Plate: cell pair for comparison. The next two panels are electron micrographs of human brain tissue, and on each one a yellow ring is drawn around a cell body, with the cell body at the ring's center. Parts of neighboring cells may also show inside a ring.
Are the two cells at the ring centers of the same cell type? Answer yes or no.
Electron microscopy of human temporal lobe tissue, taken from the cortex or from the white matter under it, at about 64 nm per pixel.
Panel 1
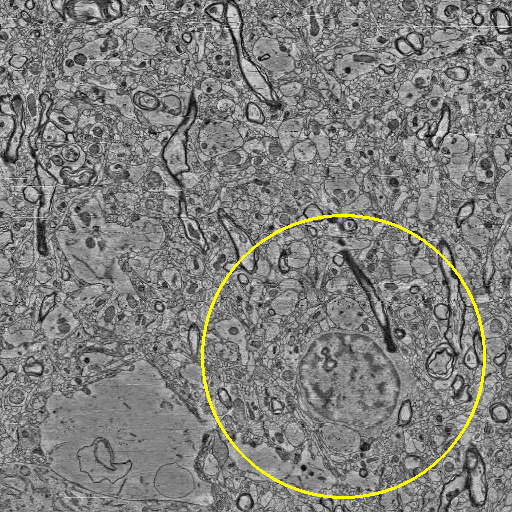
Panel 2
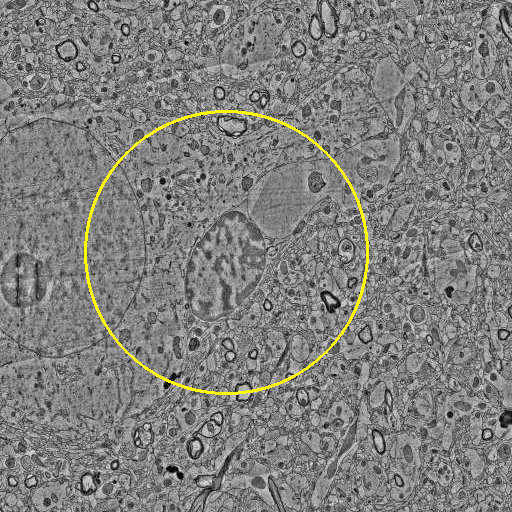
no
